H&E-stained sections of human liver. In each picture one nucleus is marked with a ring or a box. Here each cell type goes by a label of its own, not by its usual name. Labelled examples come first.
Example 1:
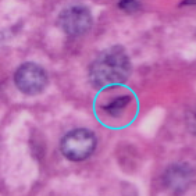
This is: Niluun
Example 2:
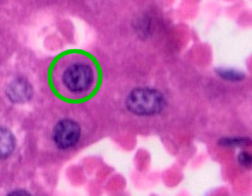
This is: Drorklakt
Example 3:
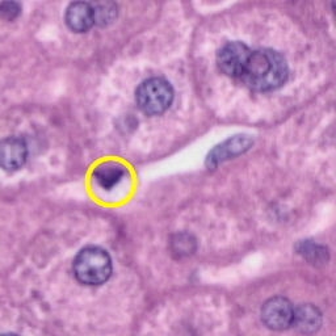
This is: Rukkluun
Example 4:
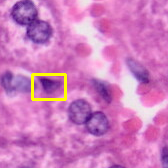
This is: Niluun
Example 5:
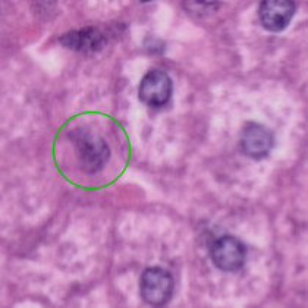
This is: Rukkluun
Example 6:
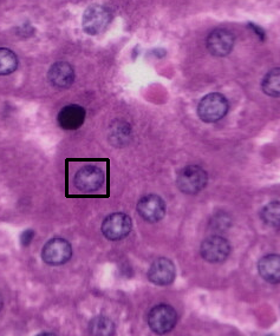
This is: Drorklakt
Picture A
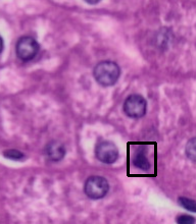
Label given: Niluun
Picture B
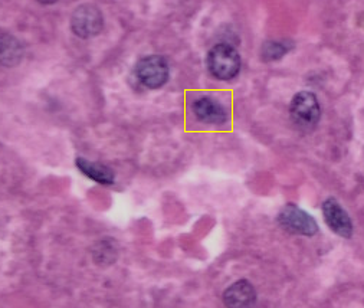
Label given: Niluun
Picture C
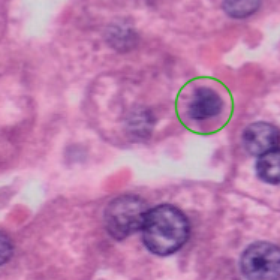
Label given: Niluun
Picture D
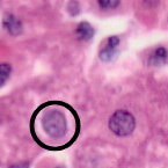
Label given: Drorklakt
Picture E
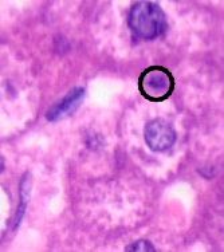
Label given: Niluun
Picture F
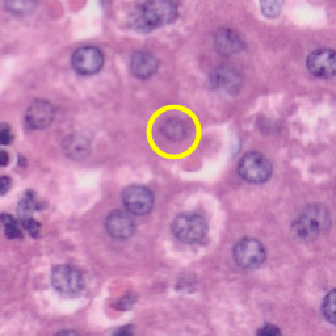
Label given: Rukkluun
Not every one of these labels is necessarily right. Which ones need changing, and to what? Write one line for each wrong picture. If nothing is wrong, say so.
F: change Rukkluun to Drorklakt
